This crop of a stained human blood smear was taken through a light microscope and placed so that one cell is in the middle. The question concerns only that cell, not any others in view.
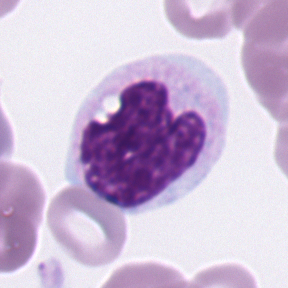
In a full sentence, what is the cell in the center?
Centrally within this crop lies a neutrophil.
